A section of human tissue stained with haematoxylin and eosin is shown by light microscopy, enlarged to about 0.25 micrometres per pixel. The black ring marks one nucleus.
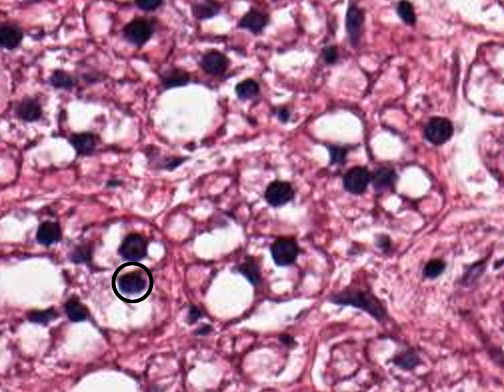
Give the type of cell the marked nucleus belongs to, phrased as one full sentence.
The marked nucleus sits within an adrenal cortical cell.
